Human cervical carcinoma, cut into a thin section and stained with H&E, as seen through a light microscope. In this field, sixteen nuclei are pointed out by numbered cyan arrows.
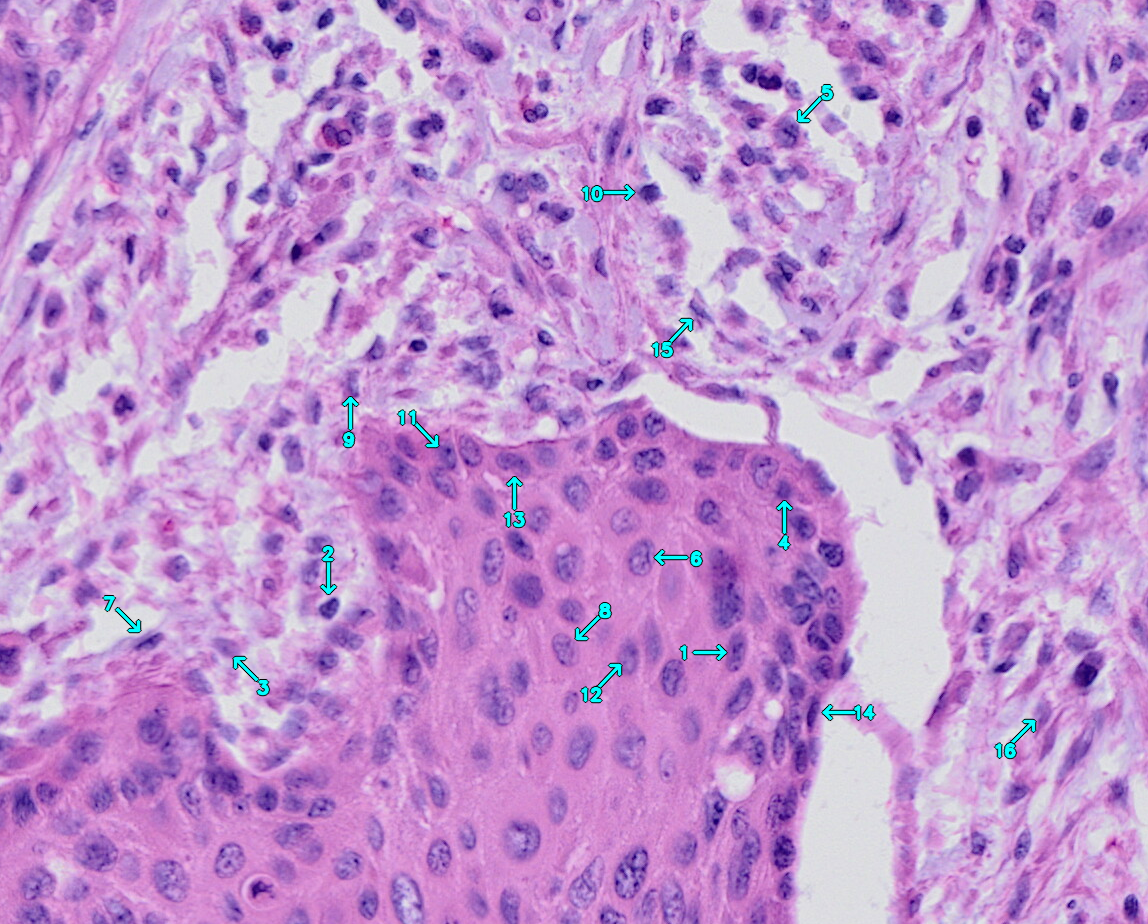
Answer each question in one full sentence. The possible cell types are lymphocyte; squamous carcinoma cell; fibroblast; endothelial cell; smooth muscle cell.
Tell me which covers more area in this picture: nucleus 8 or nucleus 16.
Nucleus 8 is larger, with an area about 1.5 times that of nucleus 16.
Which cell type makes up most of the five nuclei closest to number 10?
Around number 10, most of the five nearest nuclei are those of fibroblasts.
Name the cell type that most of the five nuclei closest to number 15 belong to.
Fibroblasts account for more than half of the five nuclei nearest to number 15.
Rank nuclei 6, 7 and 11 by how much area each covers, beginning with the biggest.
The nuclei rank 6, 11, 7, from largest to smallest.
